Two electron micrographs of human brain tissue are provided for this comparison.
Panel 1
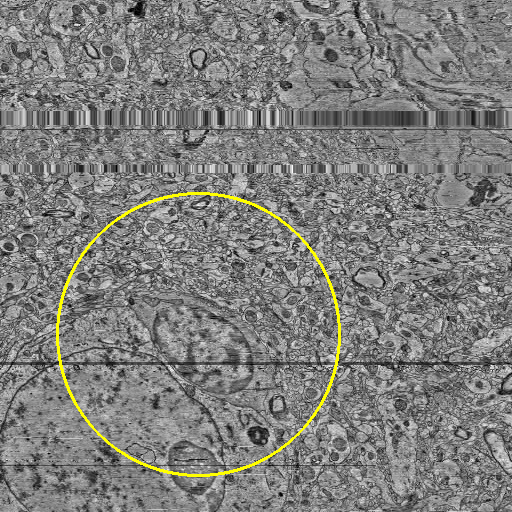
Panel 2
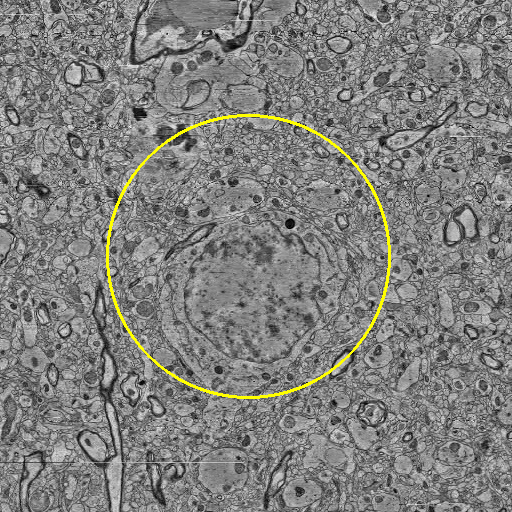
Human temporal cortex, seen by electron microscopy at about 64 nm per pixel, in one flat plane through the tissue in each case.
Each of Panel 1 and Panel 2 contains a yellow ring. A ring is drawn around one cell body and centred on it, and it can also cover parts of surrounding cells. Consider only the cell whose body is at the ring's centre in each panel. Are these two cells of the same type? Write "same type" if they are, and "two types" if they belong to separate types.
two types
